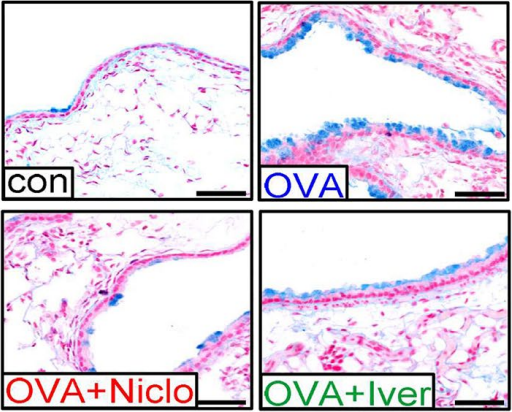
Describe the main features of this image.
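Airways lined by a thin epithelium with pink-red nuclei, resting on loose, pale connective tissue with scattered nuclei. Blue-stained material lies along the luminal side of the epithelium, abundant and continuous in some images and sparse or patchy in others.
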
